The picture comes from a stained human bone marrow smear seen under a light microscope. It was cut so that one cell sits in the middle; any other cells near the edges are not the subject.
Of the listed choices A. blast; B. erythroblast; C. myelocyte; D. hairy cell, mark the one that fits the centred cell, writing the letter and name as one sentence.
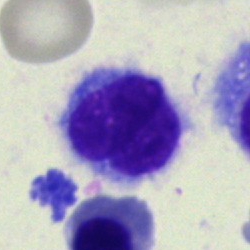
The right choice is option D: the cell in the middle is a hairy cell.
